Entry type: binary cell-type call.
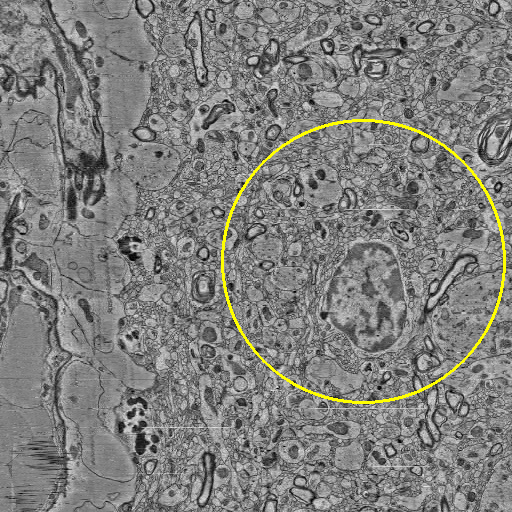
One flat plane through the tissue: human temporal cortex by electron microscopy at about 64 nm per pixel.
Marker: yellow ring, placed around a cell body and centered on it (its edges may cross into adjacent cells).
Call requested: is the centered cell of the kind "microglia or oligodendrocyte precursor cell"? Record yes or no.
yes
